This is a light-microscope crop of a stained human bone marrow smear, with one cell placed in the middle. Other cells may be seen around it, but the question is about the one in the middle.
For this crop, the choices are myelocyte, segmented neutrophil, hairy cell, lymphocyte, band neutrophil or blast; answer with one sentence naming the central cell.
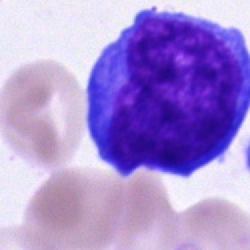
What the crop centres on is a blast.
